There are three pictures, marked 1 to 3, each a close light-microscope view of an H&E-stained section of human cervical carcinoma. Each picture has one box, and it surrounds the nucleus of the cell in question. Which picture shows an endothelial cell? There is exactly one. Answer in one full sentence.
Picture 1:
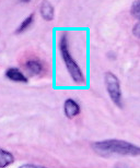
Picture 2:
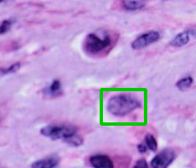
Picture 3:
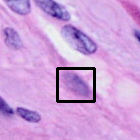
Picture 3 is the one that shows the endothelial cell.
